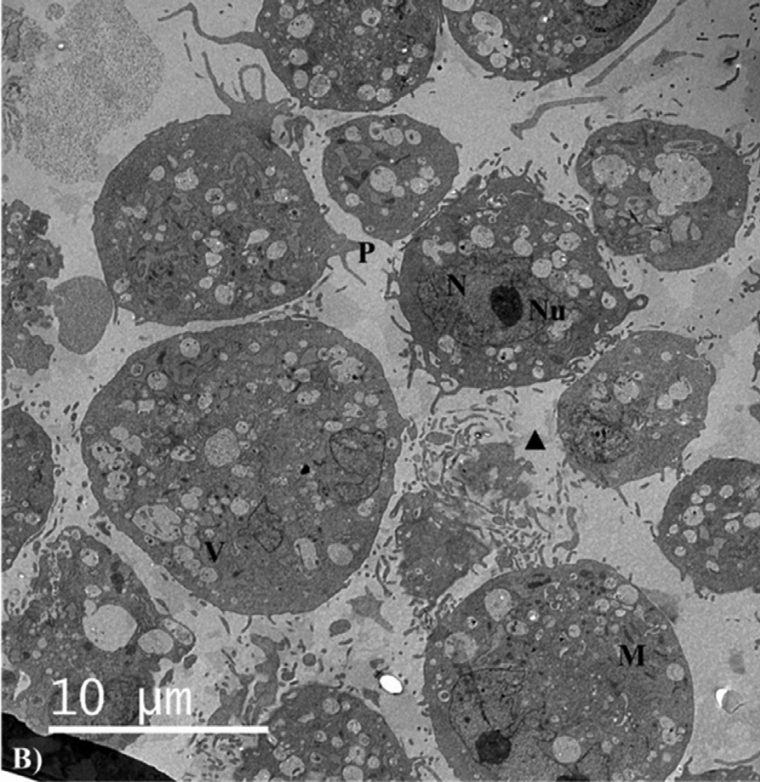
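This electron micrograph shows rounded cells lying apart from one another, separated by wide pale spaces. Their cytoplasm is crowded with many pale, round vacuoles of varying size. Some cells bear short, thin projections at their surface. One cell shows a nucleus with a large dark nucleolus. Small thread-like and fragmentary profiles are scattered in the spaces between the cells.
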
